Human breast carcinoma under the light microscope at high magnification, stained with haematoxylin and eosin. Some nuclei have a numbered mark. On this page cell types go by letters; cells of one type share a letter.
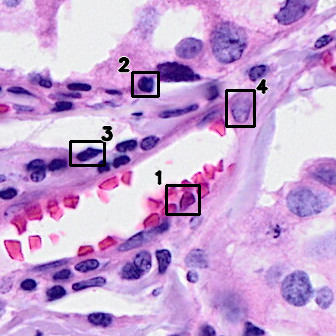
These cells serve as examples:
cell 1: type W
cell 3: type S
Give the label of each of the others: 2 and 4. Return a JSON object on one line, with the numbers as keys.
{"2": "type S", "4": "type W"}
